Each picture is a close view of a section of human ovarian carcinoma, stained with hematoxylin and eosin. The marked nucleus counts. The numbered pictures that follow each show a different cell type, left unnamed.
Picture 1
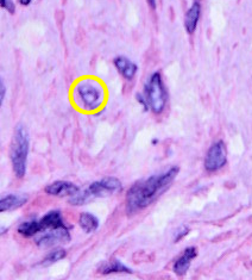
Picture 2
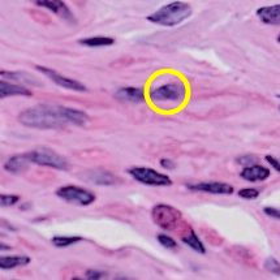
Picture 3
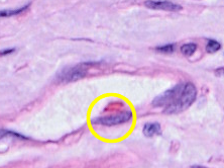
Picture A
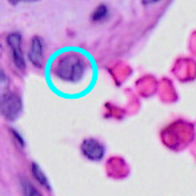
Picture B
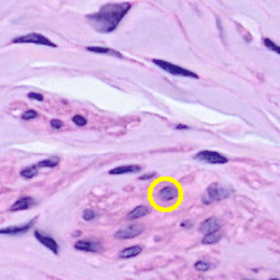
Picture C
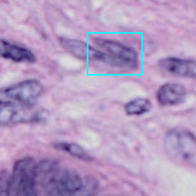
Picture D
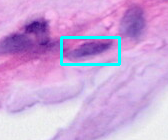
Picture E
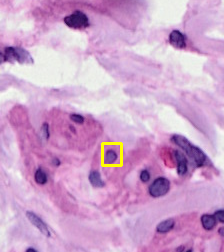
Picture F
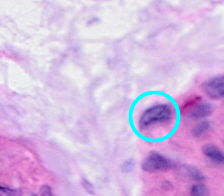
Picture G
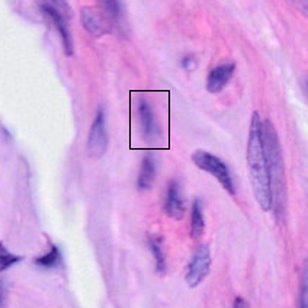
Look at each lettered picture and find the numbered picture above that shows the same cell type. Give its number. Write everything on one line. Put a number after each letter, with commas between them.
A 3, B 2, C 1, D 2, E 2, F 3, G 2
